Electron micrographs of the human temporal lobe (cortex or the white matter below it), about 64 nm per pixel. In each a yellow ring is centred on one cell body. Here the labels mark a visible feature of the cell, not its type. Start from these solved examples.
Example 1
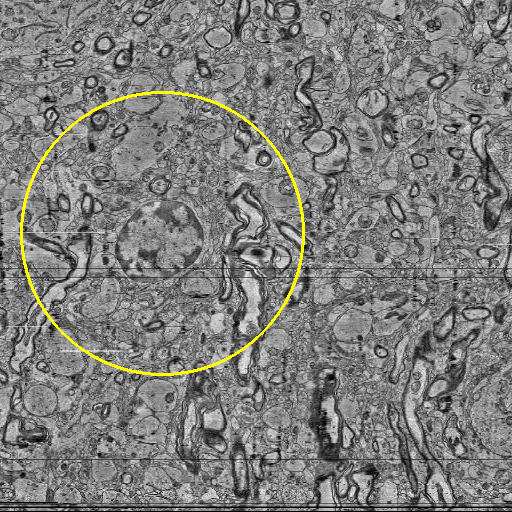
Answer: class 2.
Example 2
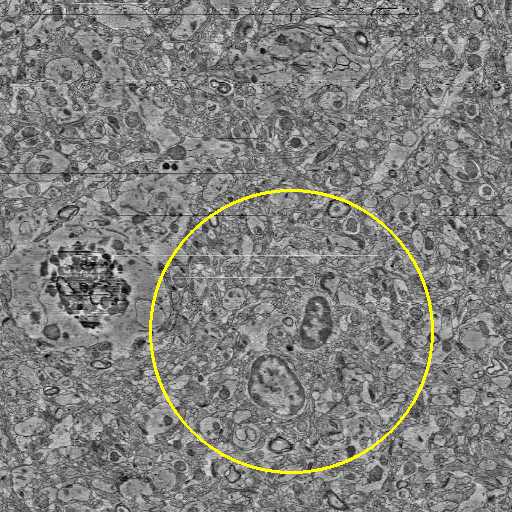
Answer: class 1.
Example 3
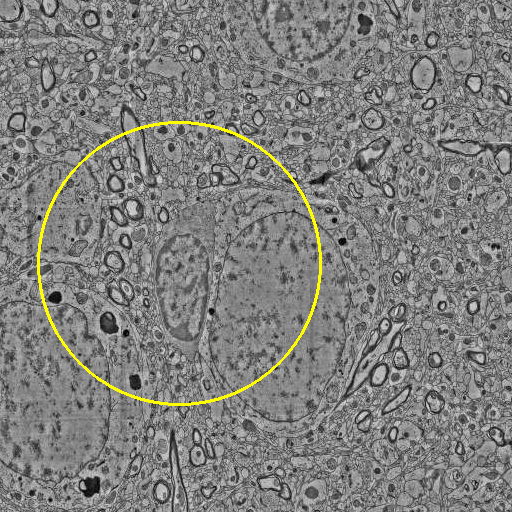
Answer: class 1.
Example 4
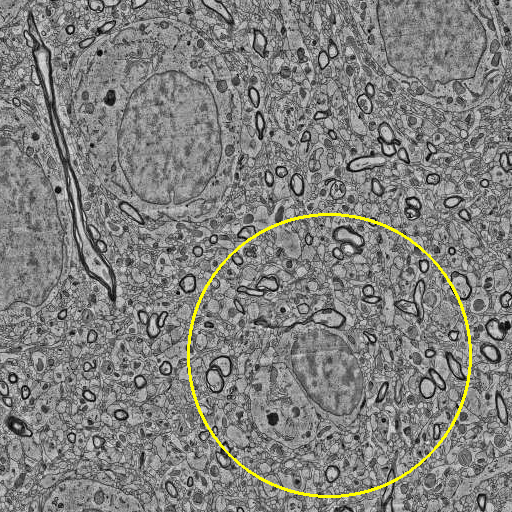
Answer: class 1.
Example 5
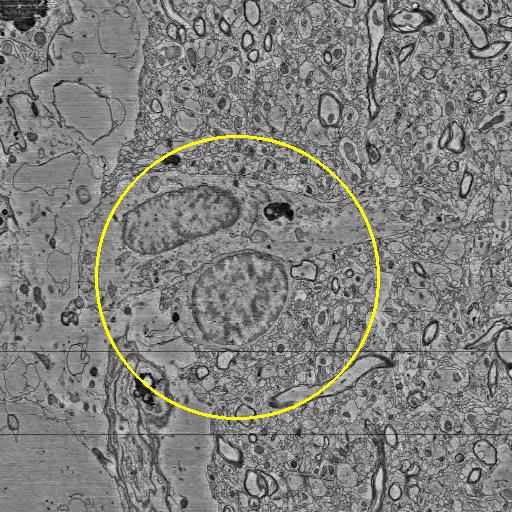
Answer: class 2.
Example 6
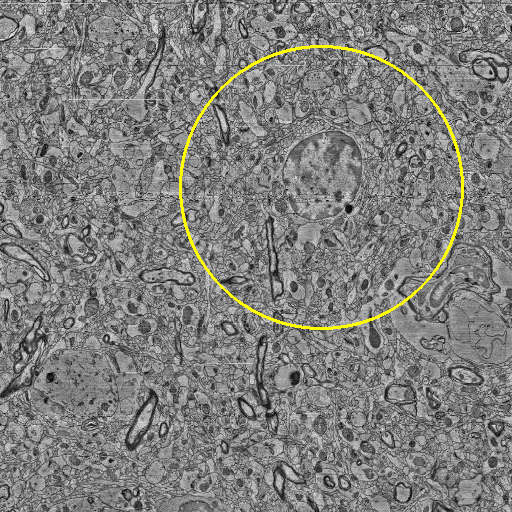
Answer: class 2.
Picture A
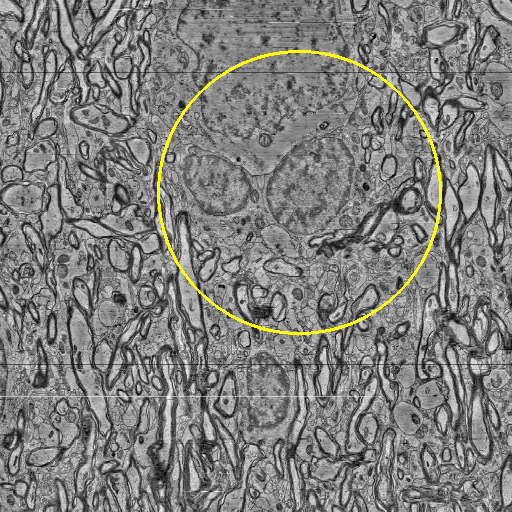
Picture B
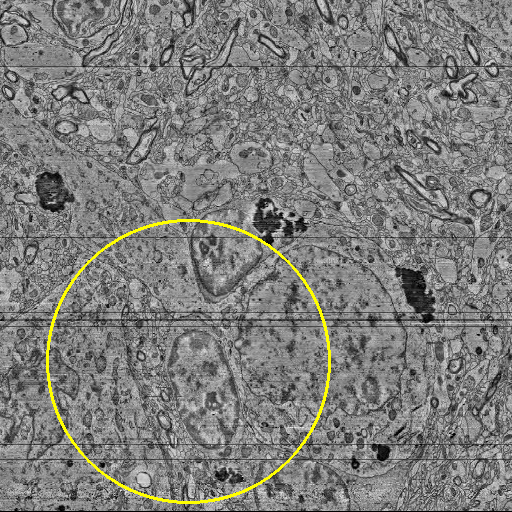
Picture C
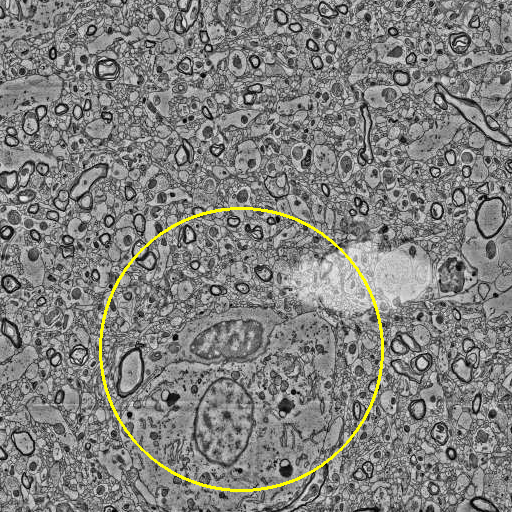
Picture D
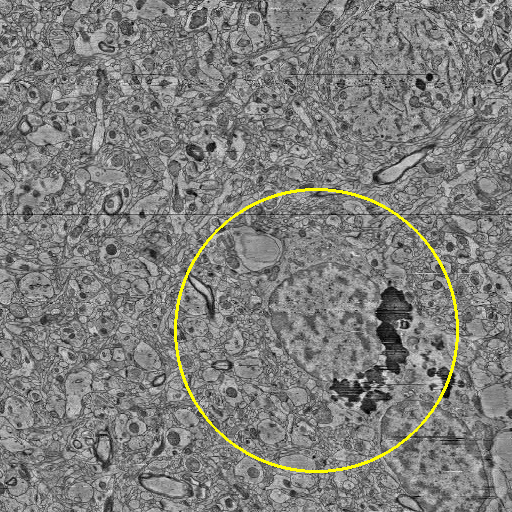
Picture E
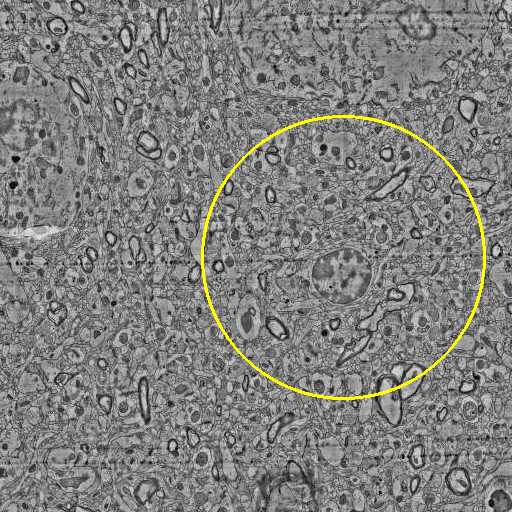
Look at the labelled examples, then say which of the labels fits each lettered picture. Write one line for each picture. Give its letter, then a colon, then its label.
A: class 2.
B: class 1.
C: class 1.
D: class 2.
E: class 2.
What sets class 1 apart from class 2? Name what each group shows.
class 1, clearly elongated nuclei; class 2, round or nearly round nuclei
